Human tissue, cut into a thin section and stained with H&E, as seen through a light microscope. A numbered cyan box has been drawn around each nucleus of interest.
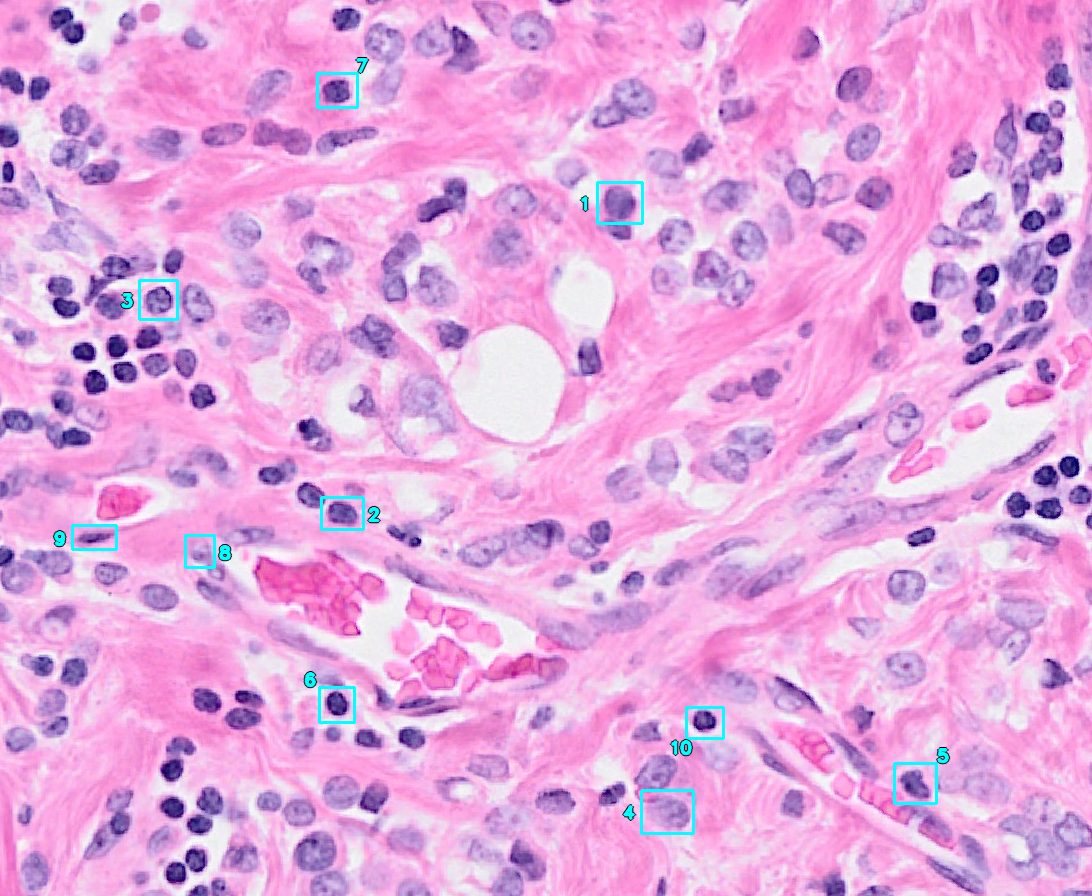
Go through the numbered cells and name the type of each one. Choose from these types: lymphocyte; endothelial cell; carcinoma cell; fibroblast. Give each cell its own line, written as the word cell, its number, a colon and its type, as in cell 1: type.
cell 1: carcinoma cell
cell 2: lymphocyte
cell 3: lymphocyte
cell 4: carcinoma cell
cell 5: lymphocyte
cell 6: lymphocyte
cell 7: lymphocyte
cell 8: endothelial cell
cell 9: endothelial cell
cell 10: lymphocyte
